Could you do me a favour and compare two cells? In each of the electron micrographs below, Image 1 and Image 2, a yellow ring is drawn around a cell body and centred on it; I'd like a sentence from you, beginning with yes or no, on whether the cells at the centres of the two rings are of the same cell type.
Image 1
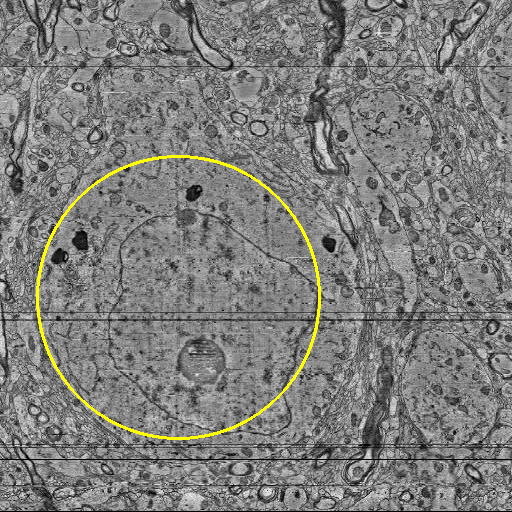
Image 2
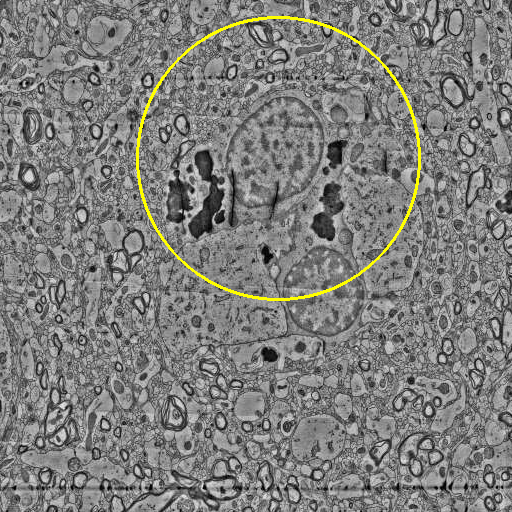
No, the two cells are of two cell types.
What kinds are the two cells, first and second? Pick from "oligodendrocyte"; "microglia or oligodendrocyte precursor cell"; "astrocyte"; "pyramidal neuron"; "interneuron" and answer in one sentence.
The second picture holds an oligodendrocyte in its ring, and the first holds a pyramidal neuron.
